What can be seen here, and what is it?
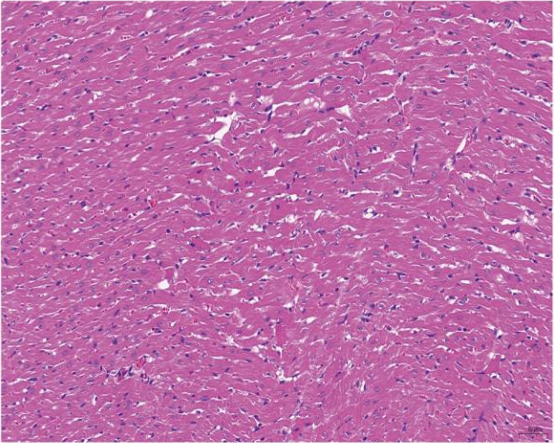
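Heart muscle is seen with elongated pink cardiomyocytes packed tightly side by side, running mostly in one direction. Each fibre holds an oval purple nucleus near its centre, and the fibres branch and meet their neighbours with only narrow clefts and a few thin capillaries between them. The cytoplasm is evenly eosinophilic, and the tissue looks compact and orderly.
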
